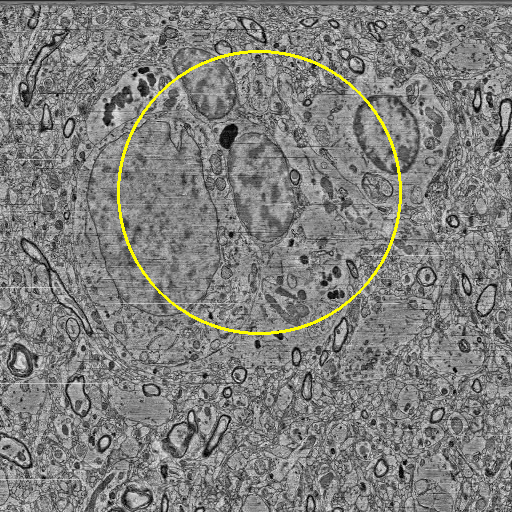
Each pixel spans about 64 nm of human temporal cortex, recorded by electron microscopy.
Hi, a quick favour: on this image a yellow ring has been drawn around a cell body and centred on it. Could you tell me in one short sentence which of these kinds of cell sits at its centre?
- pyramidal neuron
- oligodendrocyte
The ring is centred on an oligodendrocyte.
